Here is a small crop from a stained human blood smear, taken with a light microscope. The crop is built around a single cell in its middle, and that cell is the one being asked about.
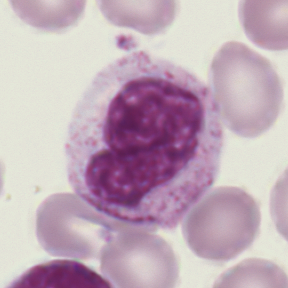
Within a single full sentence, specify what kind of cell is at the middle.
Here the cell in the middle is a band neutrophil.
